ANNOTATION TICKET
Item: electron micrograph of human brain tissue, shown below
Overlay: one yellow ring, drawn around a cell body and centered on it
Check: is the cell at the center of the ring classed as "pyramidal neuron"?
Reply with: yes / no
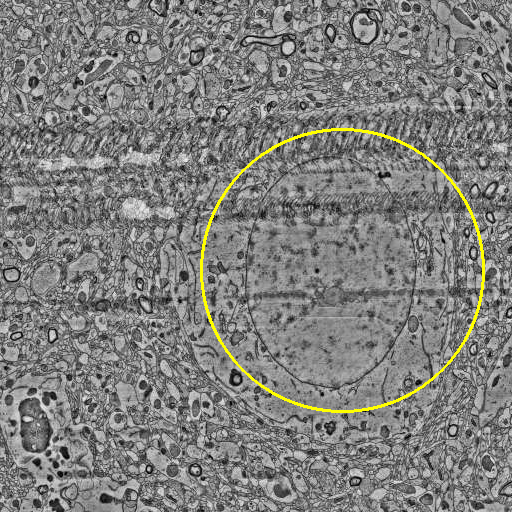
yes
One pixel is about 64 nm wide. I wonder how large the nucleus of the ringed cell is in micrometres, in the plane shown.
The nucleus has a long axis of about 14 micrometres and a short axis of about 11 micrometres in this plane.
